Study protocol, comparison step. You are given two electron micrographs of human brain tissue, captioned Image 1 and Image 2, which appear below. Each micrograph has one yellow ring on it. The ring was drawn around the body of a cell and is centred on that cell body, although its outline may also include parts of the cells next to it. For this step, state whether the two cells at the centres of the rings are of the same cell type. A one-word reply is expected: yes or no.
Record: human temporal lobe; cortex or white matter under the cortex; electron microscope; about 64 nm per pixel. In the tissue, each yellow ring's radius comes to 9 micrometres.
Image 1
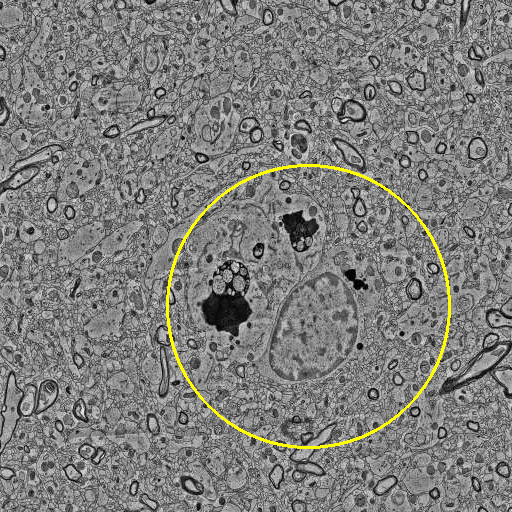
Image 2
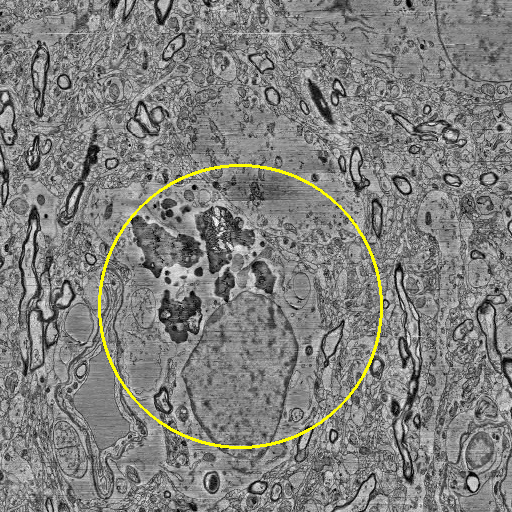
no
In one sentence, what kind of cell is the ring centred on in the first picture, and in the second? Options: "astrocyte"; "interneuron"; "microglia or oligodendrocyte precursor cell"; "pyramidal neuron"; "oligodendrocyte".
The cell at the centre of the second ring is an astrocyte; the first ring's cell is an oligodendrocyte.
